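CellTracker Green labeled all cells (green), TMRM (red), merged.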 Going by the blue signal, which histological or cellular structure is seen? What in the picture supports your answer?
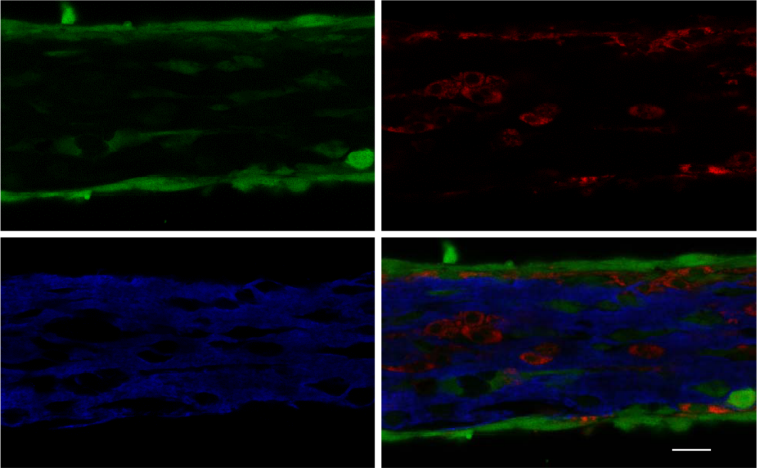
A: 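Blue signal forms a continuous fibrous matrix that fills the tissue. Dark oval gaps in the blue mark where cells lie within it.
Hence: collagen.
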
